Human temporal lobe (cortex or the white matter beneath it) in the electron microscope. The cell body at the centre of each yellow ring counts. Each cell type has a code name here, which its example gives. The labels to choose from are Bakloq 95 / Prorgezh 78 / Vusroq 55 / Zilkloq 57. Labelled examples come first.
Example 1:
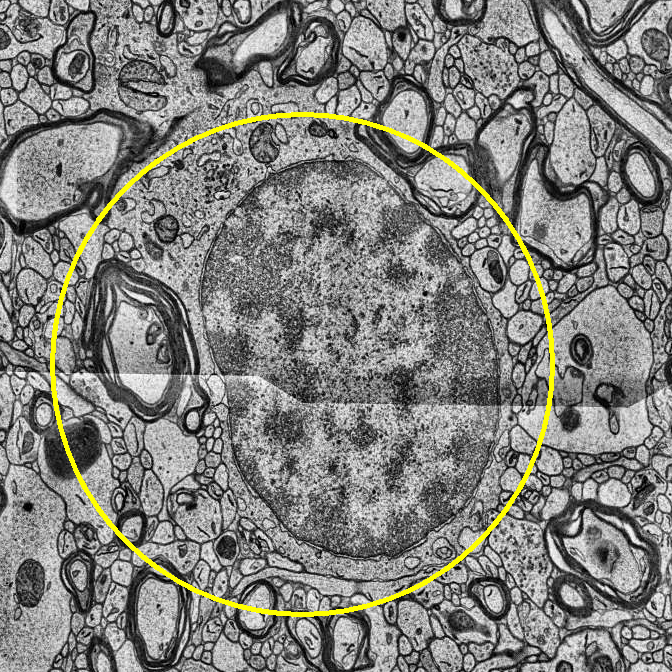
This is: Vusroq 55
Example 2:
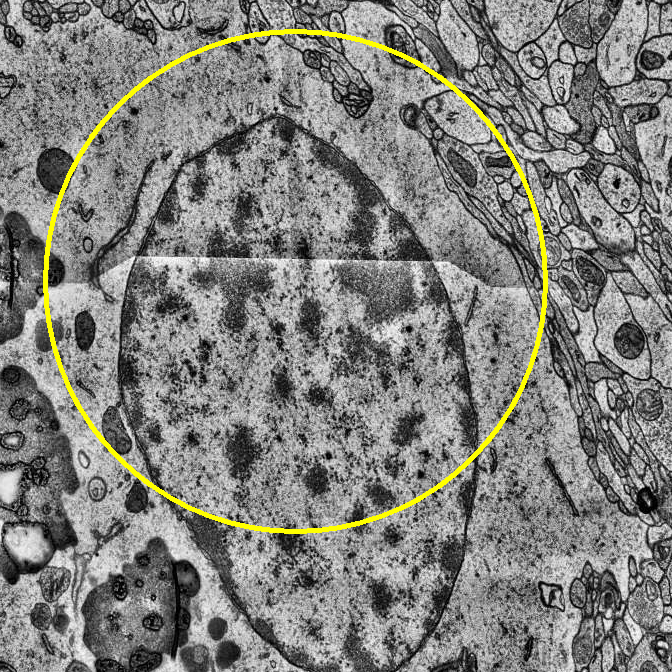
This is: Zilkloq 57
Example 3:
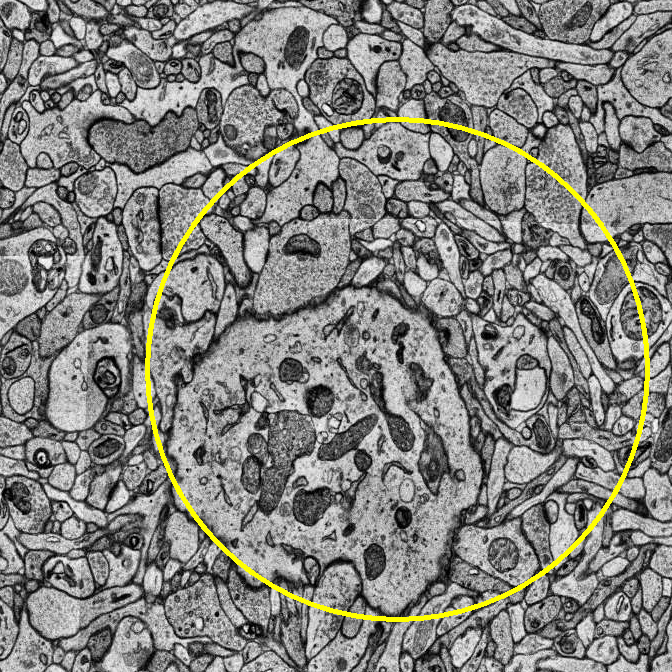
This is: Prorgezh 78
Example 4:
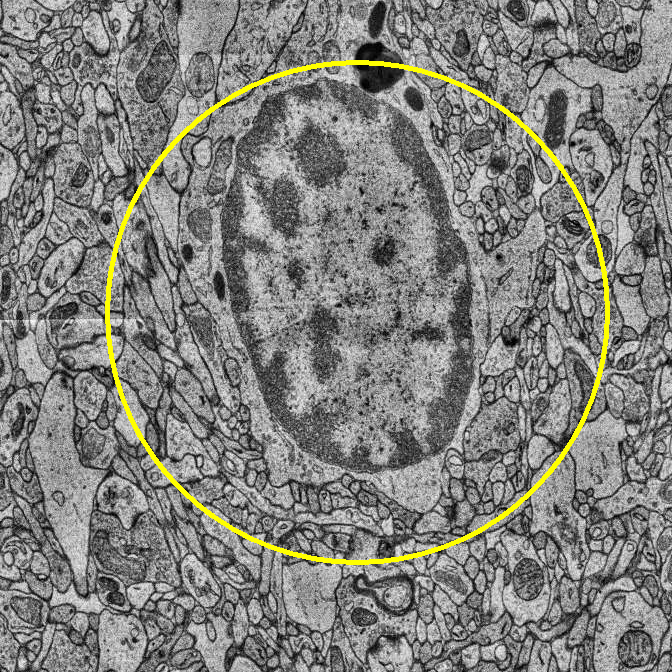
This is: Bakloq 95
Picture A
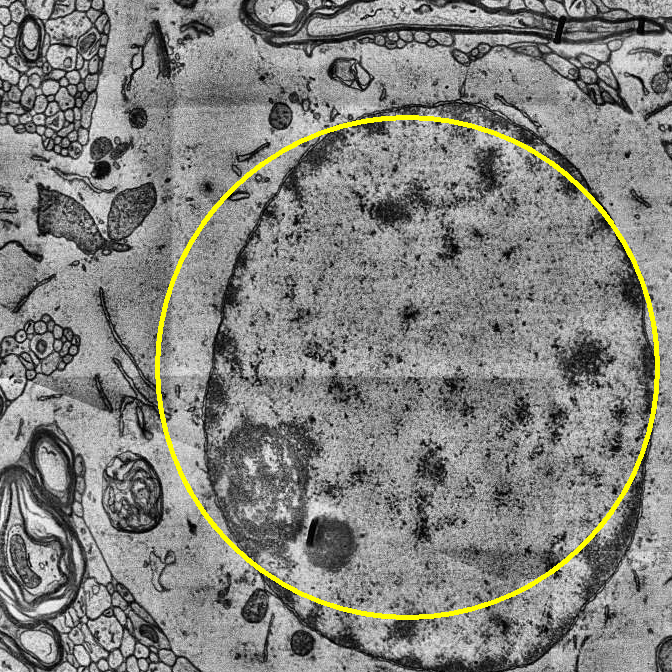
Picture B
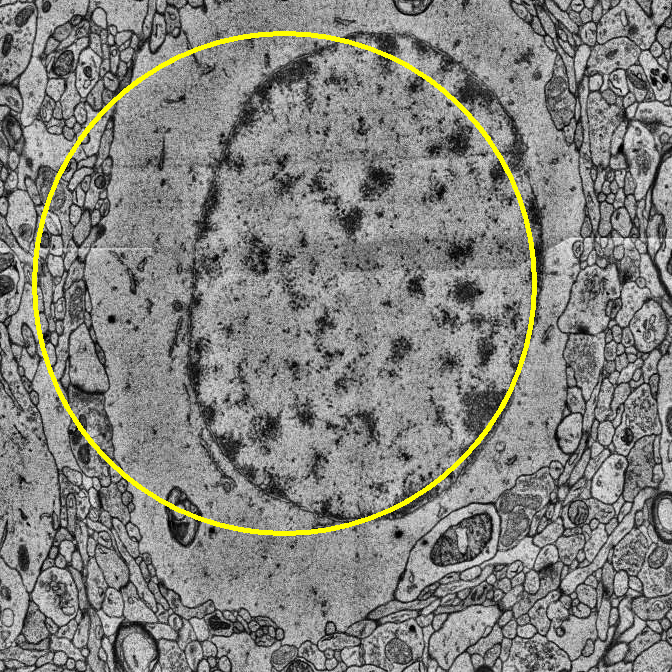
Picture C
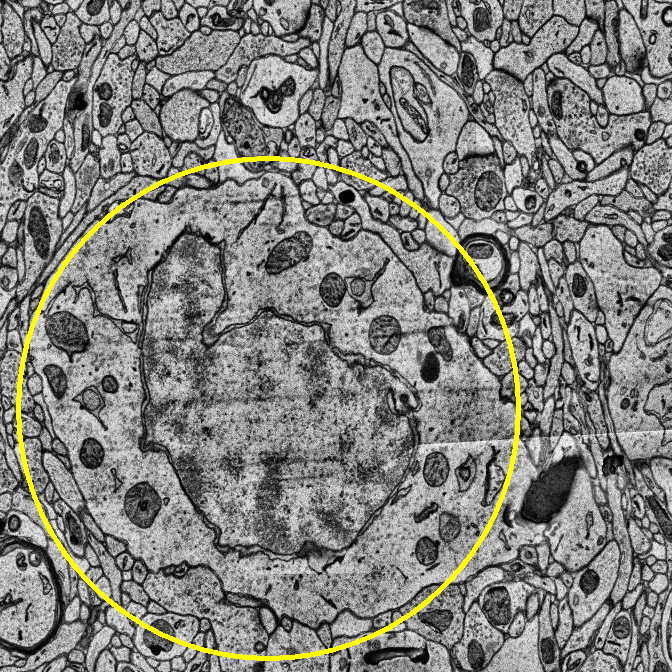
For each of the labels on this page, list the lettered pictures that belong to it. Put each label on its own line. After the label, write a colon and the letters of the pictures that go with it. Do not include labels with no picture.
Prorgezh 78: C
Zilkloq 57: A, B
